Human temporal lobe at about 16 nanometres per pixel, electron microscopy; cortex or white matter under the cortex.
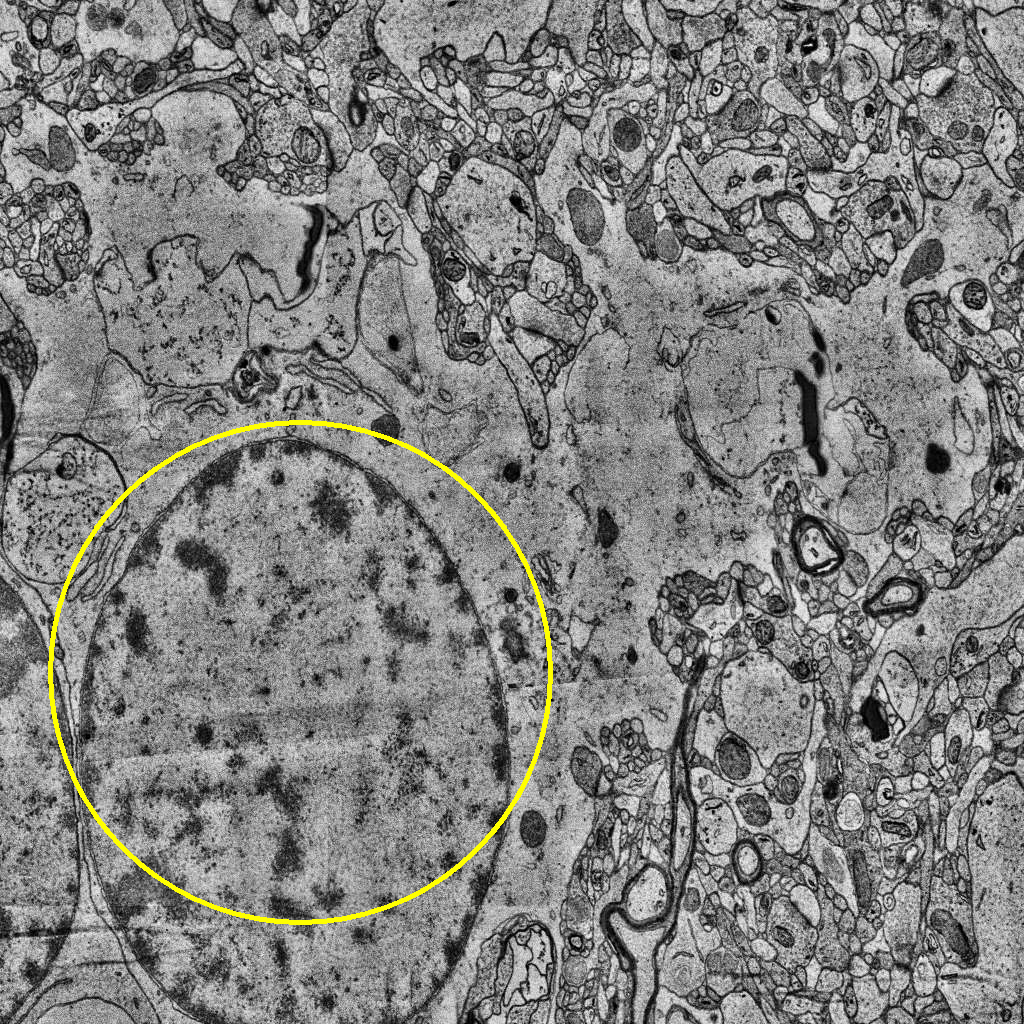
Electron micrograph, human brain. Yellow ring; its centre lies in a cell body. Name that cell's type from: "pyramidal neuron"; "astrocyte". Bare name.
astrocyte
